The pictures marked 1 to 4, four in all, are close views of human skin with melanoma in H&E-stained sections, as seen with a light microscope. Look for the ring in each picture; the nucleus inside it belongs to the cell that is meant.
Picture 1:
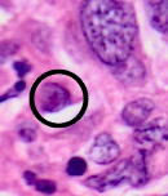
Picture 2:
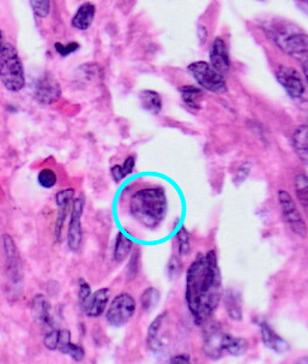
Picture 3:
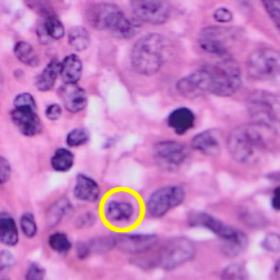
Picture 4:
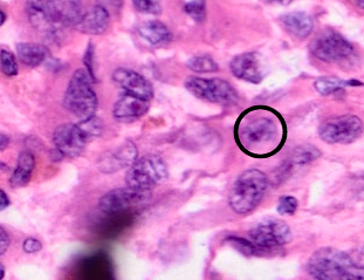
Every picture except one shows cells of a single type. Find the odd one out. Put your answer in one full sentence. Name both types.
Picture 3 differs, because its cell is a lymphocyte and the rest are melanoma cells.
